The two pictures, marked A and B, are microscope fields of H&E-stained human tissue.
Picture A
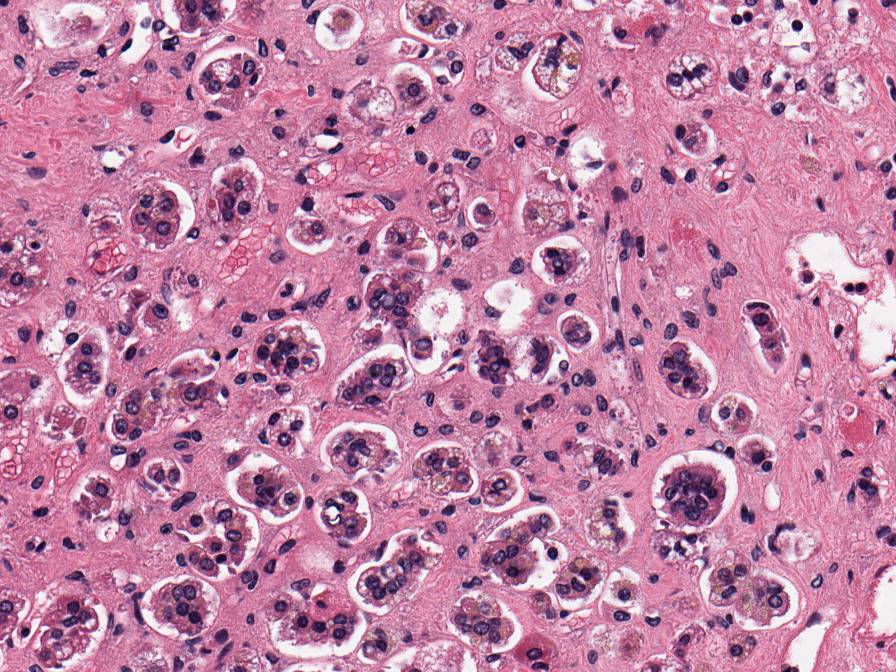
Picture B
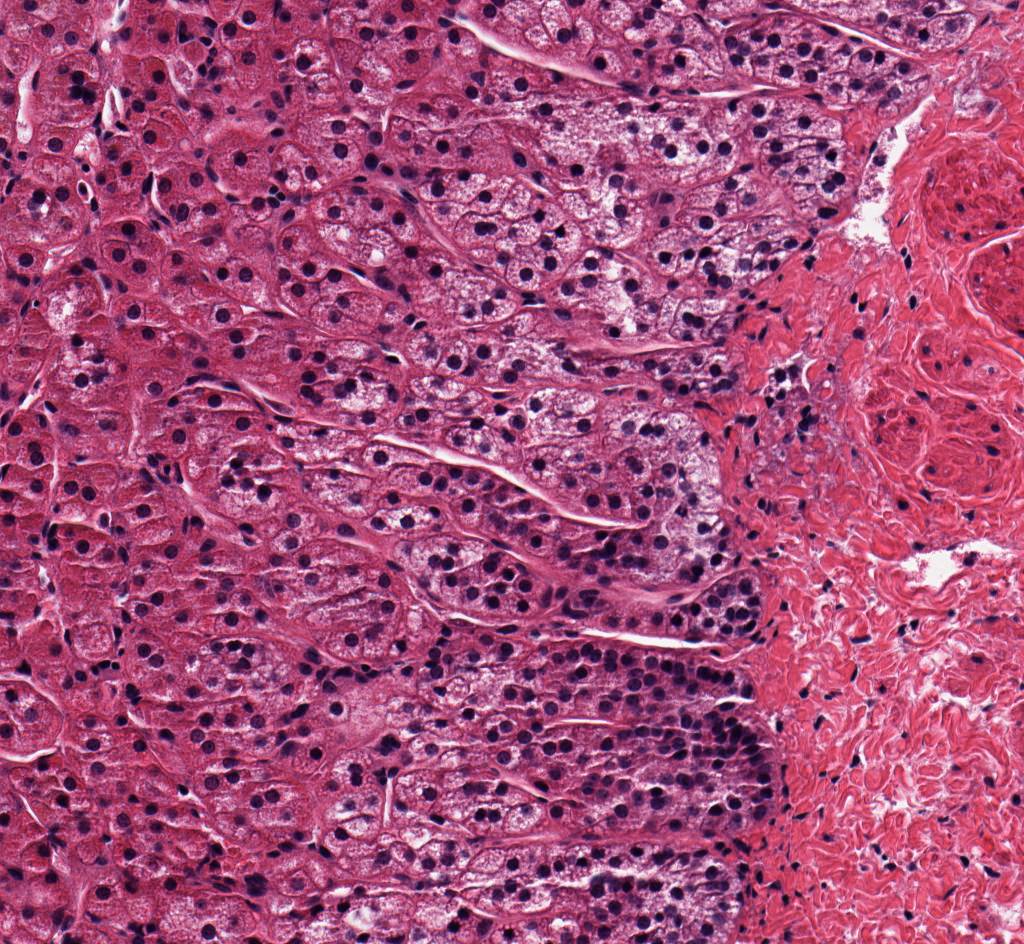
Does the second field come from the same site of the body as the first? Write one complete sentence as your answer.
Yes; both pictures come from the adrenal gland.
